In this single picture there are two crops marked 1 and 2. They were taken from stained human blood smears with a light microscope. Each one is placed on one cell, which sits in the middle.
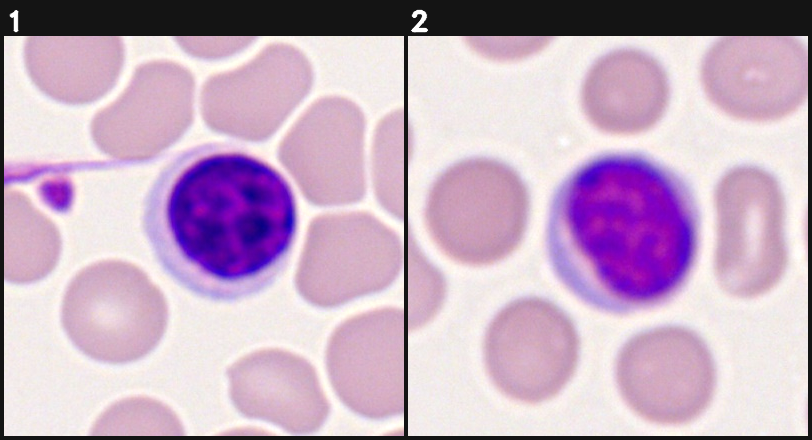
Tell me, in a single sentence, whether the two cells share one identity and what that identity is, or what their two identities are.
Yes, they do, both crops show lymphocytes.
